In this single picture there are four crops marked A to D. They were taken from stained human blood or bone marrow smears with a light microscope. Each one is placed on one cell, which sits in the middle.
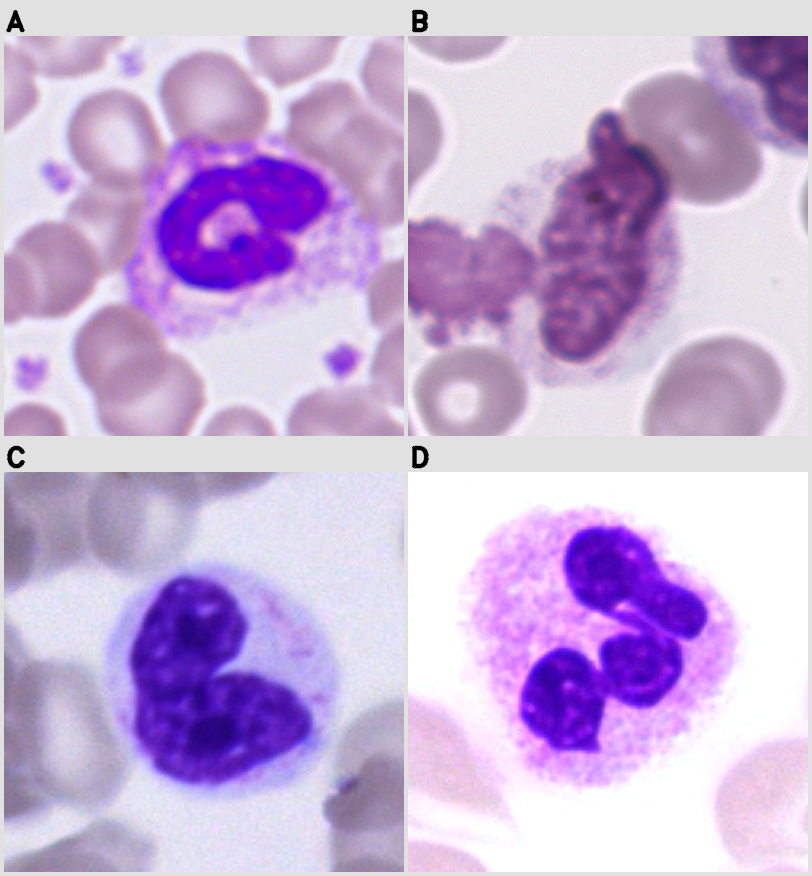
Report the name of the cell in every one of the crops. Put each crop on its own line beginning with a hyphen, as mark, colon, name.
- A: band neutrophil
- B: segmented neutrophil
- C: band neutrophil
- D: segmented neutrophil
